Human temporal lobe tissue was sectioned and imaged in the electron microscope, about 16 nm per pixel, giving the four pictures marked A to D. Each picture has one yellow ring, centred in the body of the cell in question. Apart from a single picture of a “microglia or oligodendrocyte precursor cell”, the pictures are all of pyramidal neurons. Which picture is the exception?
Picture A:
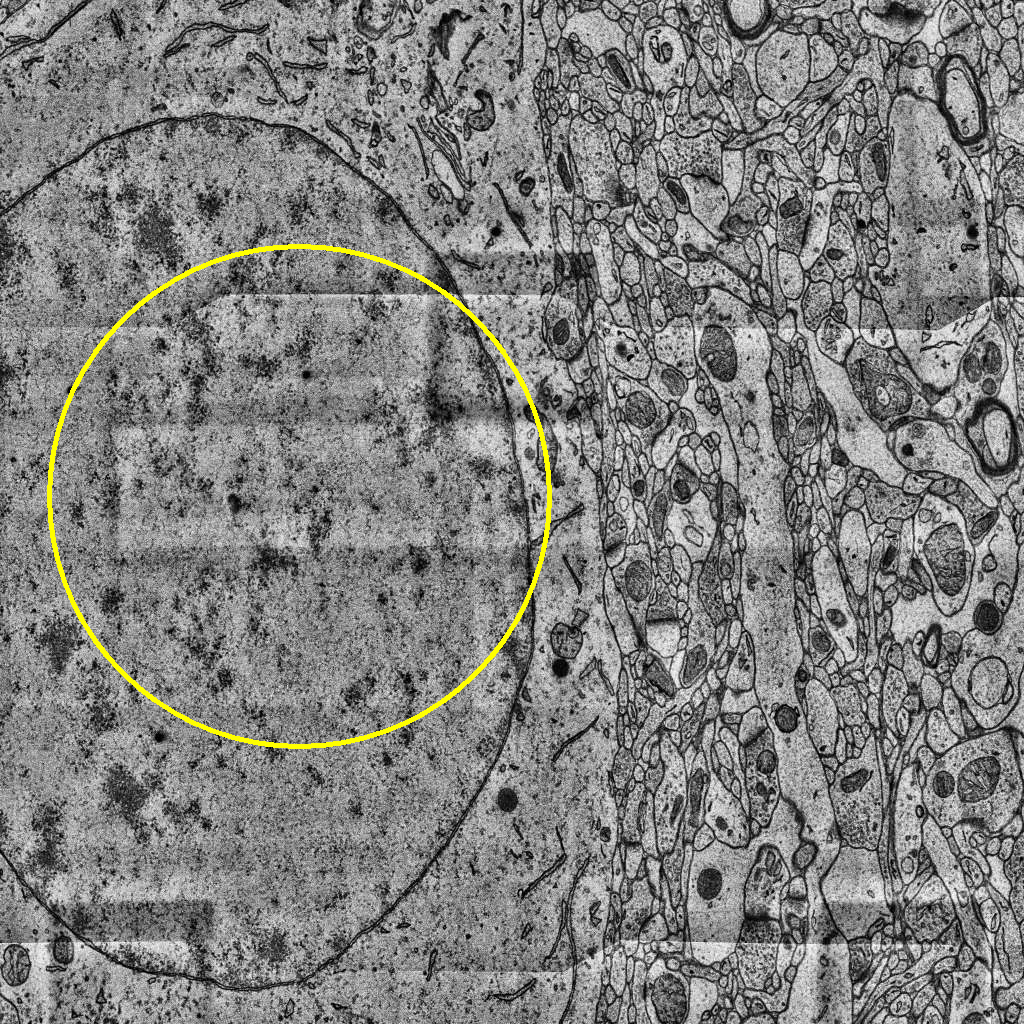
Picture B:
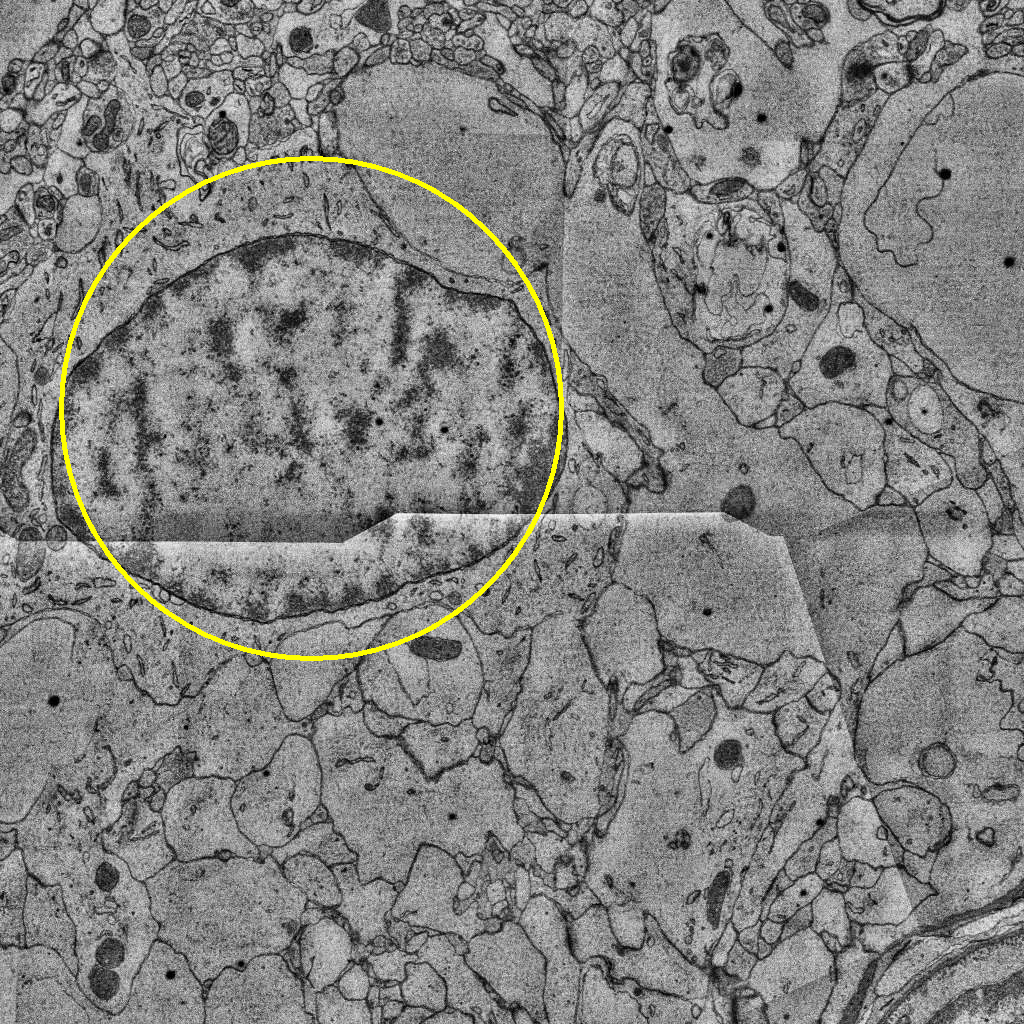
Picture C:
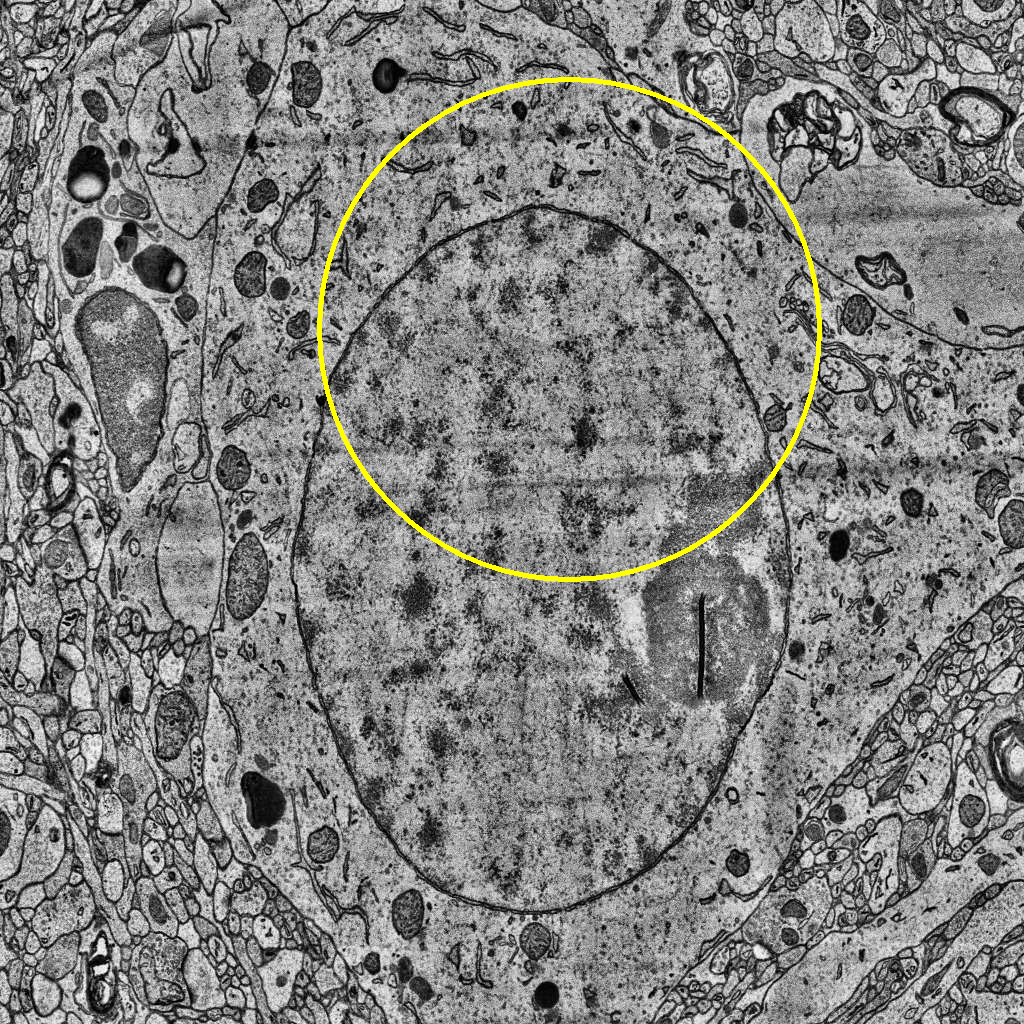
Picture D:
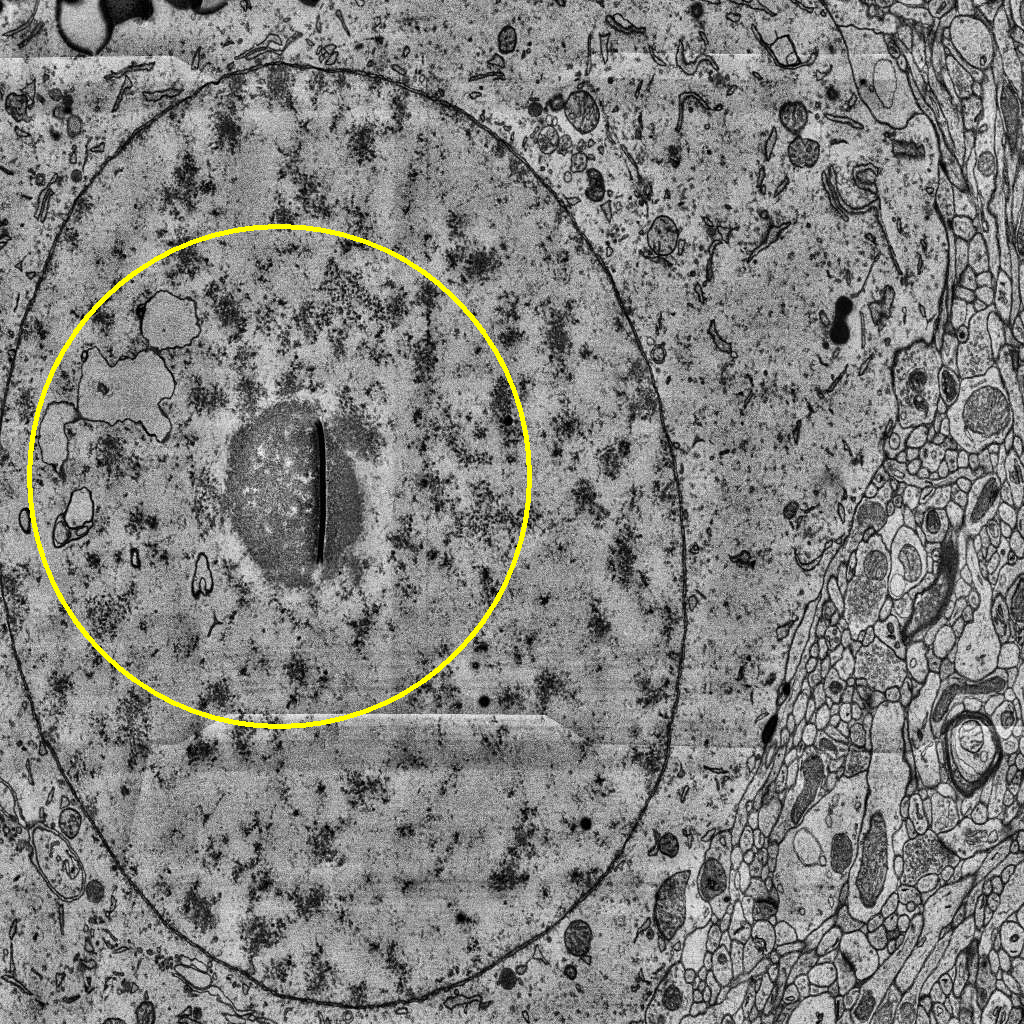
It is picture B that shows the “microglia or oligodendrocyte precursor cell”.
